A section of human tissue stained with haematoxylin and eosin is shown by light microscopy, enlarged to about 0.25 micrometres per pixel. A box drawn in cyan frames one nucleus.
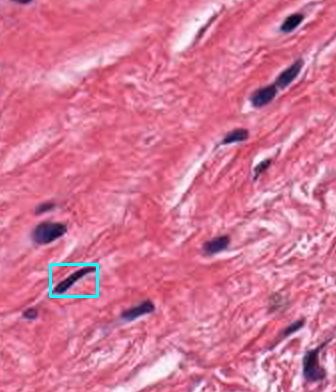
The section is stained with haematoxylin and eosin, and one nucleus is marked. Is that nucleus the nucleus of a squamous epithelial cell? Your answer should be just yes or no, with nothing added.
no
